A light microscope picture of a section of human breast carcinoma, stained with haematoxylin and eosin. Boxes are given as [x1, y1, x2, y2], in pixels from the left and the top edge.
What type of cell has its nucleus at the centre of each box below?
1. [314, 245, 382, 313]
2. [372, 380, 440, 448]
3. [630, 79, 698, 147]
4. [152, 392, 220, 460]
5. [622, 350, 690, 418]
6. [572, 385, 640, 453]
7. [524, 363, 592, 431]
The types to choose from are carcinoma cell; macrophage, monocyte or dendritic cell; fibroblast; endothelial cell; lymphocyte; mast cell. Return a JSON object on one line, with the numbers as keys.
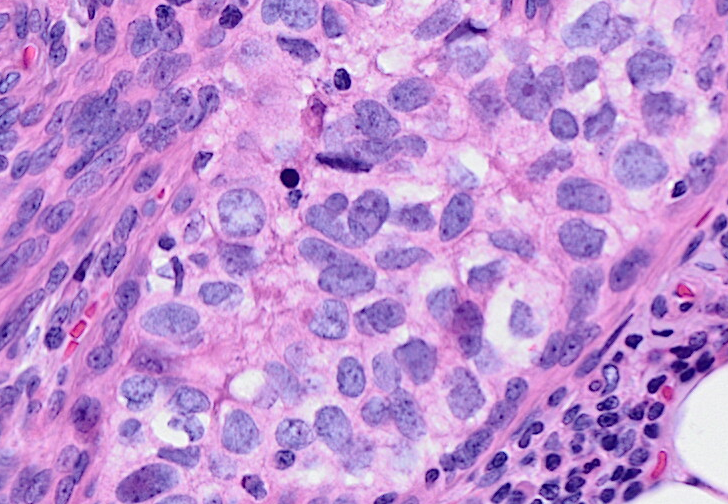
{"1": "carcinoma cell", "2": "carcinoma cell", "3": "carcinoma cell", "4": "carcinoma cell", "5": "lymphocyte", "6": "lymphocyte", "7": "lymphocyte"}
